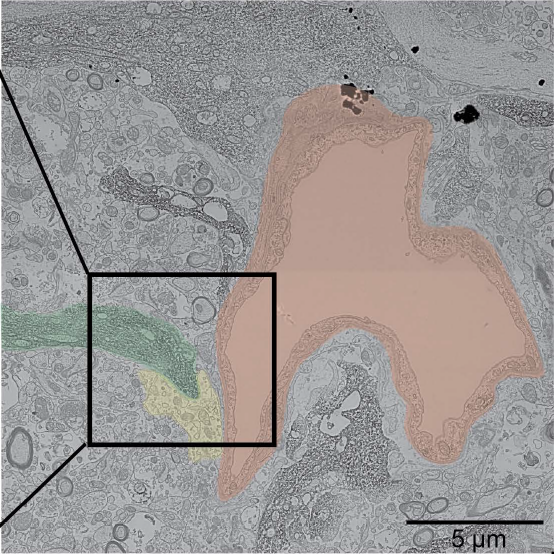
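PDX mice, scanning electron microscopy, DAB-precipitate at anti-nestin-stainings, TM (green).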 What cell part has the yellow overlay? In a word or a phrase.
Astrocytic endfeet.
